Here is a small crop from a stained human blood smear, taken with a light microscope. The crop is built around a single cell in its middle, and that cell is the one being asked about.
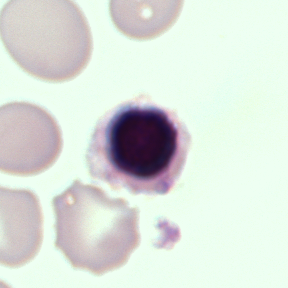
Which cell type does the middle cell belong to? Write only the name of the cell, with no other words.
erythroblast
